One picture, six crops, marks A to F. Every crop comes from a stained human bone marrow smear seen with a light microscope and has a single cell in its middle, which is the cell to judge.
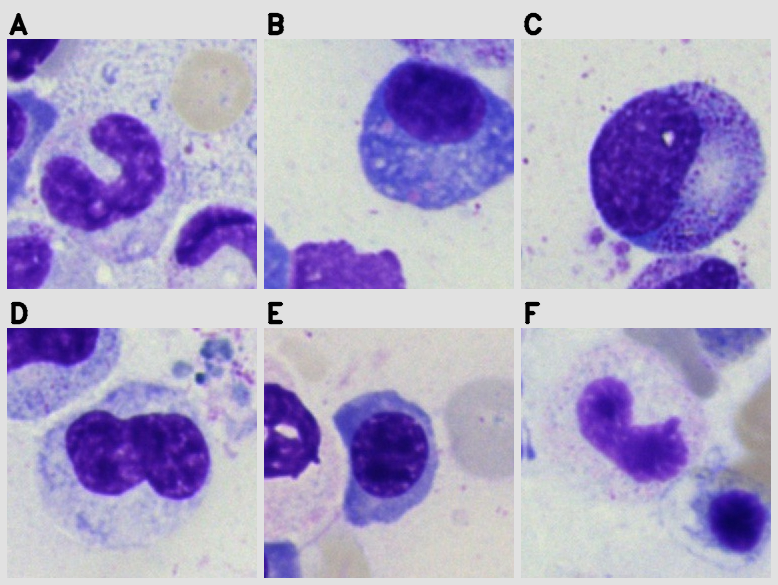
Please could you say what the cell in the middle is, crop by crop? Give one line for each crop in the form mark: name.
A: band neutrophil
B: plasma cell
C: metamyelocyte
D: band neutrophil
E: erythroblast
F: segmented neutrophil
